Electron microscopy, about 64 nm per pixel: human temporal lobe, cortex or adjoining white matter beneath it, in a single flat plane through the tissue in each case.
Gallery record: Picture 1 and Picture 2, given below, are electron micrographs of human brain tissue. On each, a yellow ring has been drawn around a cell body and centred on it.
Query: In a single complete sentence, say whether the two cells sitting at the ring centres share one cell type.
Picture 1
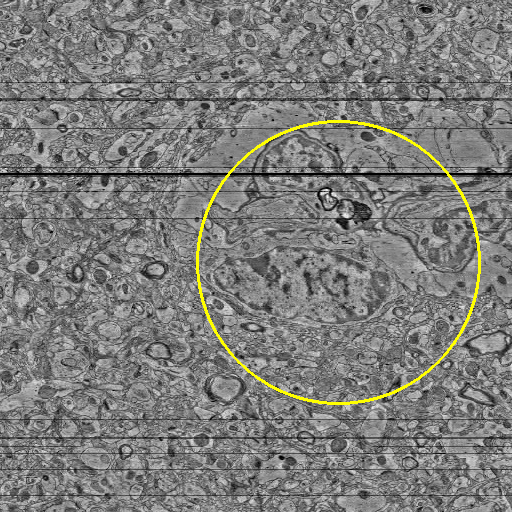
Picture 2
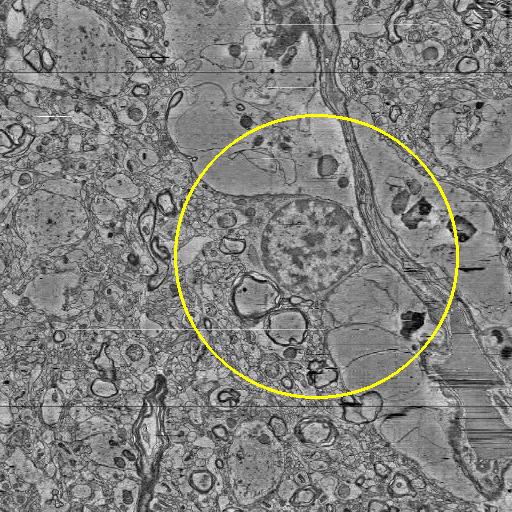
No, in the two pictures the cells at the rings' centres are of two separate types.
